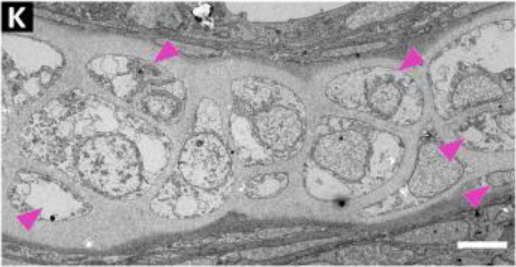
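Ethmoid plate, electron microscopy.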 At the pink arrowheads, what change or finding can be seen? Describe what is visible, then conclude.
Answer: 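Arrowheads point to cells at the edges of the cartilage stack. Cells vary in size and shape and are not arranged in a single orderly row.
Conclusion: areas of non-uniformity and non-intercalating chondrocytes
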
